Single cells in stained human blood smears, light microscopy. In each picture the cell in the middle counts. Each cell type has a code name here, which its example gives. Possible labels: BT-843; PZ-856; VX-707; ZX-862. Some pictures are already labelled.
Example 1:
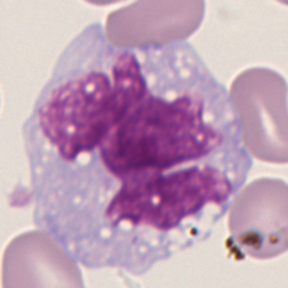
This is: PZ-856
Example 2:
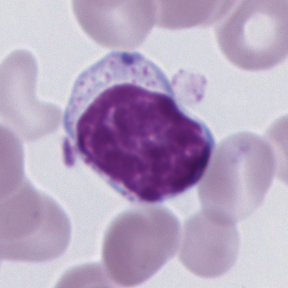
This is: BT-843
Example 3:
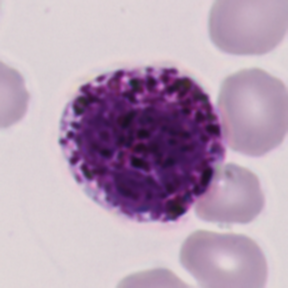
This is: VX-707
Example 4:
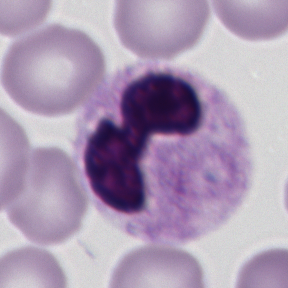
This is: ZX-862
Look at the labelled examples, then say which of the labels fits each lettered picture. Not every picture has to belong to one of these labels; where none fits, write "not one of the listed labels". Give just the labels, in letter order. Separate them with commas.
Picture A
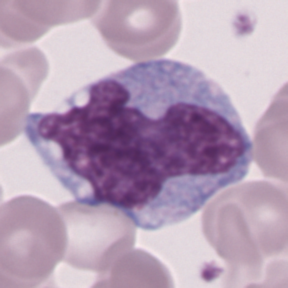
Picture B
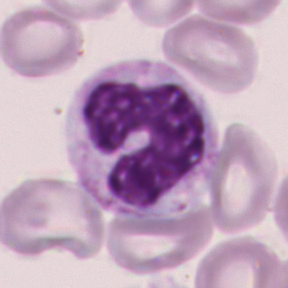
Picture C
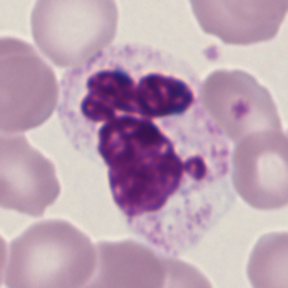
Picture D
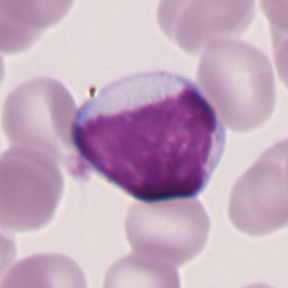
PZ-856, not one of the listed labels, ZX-862, BT-843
